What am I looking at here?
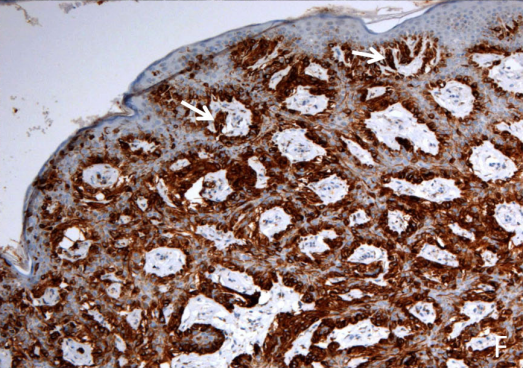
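A transverse section through the epidermis at the level of the dermal papillae shows a dense net of brown-stained cells surrounding many pale, nearly unstained rounded islands of papillary dermis. The brown cells crowd the rims of these islands and send extensions into them, some crossing the pale areas. Toward the surface the brown gives way to a band of pale blue-grey epidermis with scattered brown cells, topped by a thin cornified layer. The pale islands contain few nuclei and loose fibrous tissue. The brown staining is strong and fills the epithelial network around most of the islands.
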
